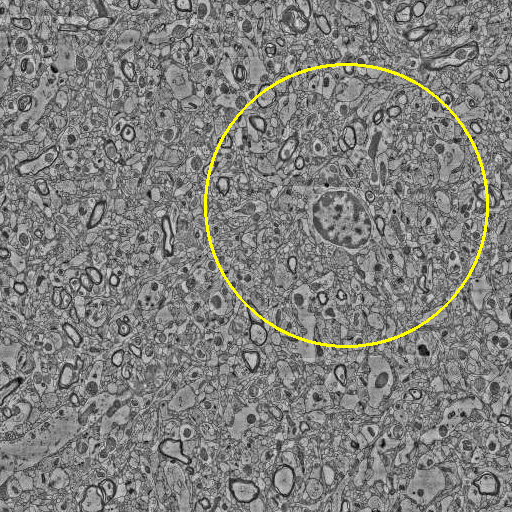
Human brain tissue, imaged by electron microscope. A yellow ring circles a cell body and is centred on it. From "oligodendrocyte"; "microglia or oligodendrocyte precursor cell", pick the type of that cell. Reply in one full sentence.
The cell body at the centre of the yellow ring belongs to a microglial cell or oligodendrocyte precursor cell.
